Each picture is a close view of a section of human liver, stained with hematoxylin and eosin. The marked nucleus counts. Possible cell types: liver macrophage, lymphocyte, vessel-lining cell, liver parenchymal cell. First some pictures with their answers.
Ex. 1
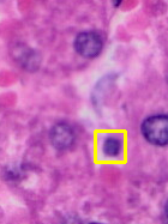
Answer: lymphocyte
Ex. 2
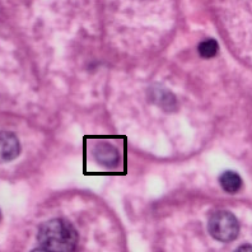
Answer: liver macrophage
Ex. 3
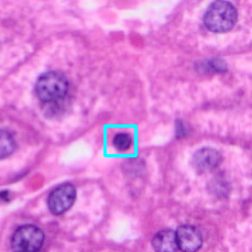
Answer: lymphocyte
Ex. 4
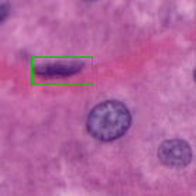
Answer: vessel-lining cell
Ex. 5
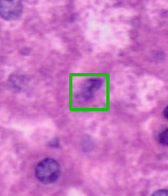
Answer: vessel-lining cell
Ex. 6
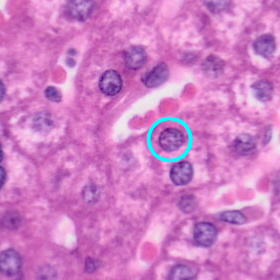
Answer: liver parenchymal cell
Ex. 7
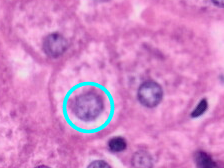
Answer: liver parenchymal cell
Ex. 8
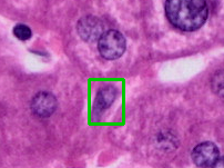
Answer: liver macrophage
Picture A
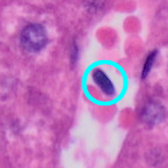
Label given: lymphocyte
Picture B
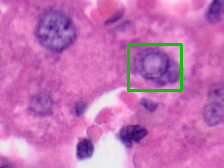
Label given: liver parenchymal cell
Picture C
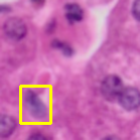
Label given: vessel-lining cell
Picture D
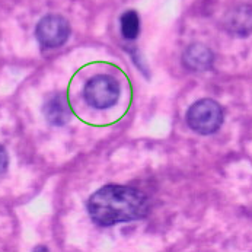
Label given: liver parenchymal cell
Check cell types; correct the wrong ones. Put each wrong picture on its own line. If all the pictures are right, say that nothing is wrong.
No label is wrong.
